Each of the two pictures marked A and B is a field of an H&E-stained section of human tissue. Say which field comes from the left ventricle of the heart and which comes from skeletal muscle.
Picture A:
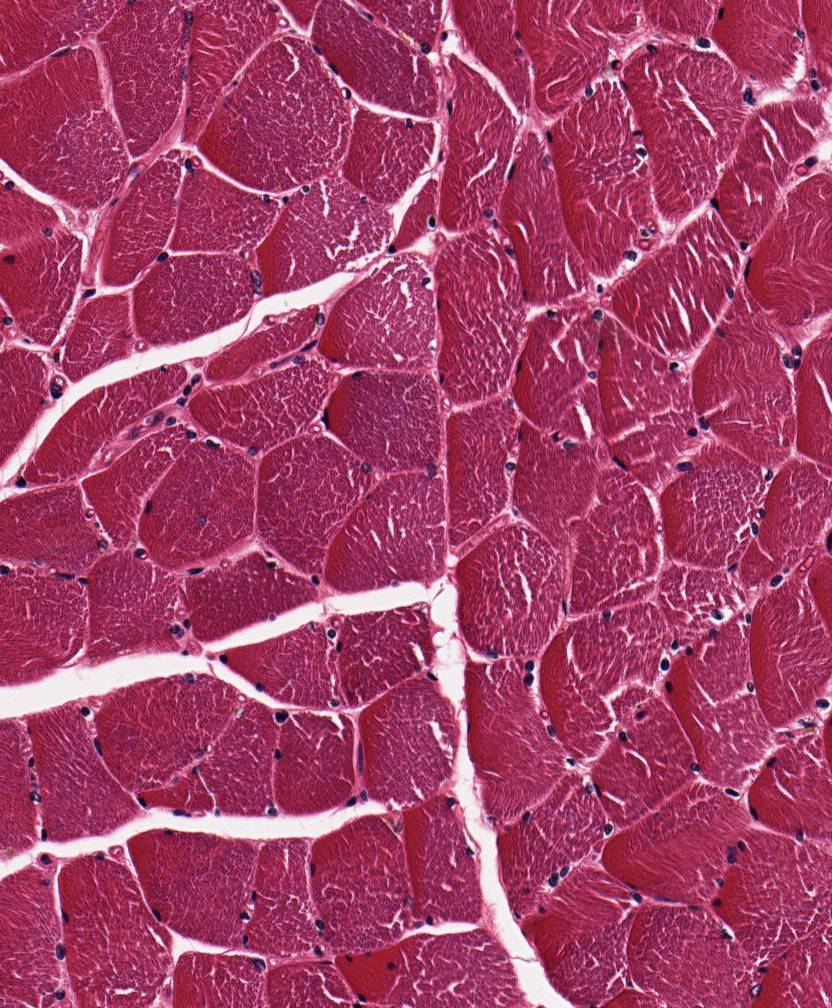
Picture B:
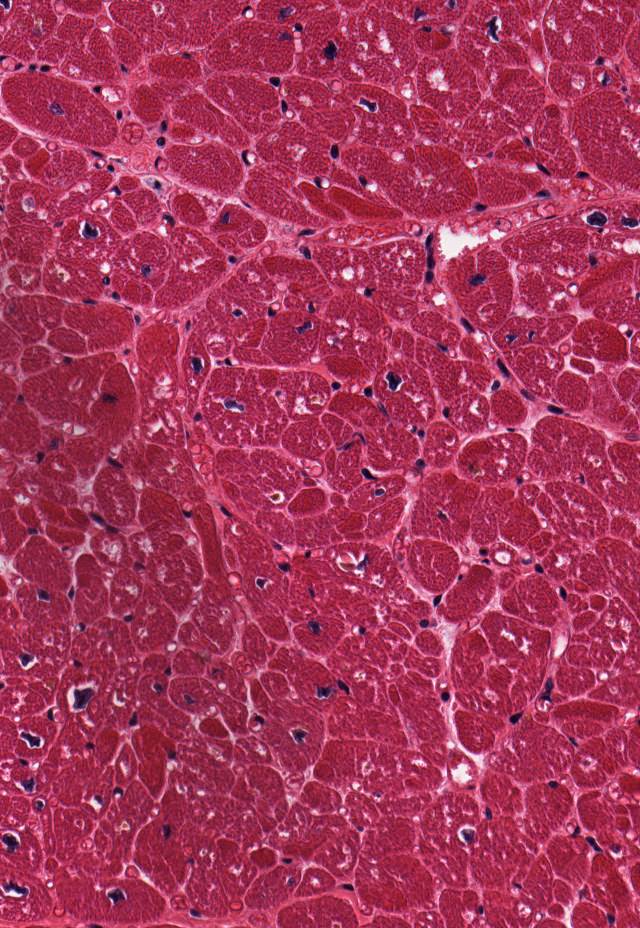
A: skeletal muscle
B: left ventricle of the heart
